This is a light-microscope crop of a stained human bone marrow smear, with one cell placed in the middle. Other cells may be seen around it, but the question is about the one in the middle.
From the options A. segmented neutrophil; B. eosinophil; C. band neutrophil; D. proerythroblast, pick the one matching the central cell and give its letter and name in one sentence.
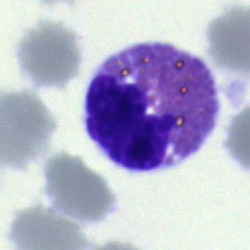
Since the cell in the centre is an eosinophil, the correct option is B.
